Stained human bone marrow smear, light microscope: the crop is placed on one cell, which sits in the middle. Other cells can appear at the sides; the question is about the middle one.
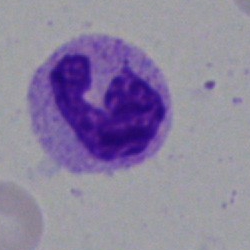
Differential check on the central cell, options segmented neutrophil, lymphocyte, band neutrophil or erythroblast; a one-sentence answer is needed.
The cell in the middle of this crop is a segmented neutrophil.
